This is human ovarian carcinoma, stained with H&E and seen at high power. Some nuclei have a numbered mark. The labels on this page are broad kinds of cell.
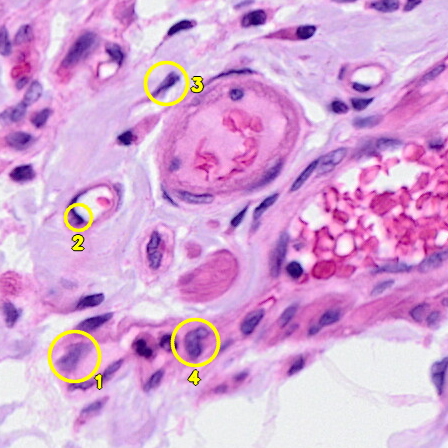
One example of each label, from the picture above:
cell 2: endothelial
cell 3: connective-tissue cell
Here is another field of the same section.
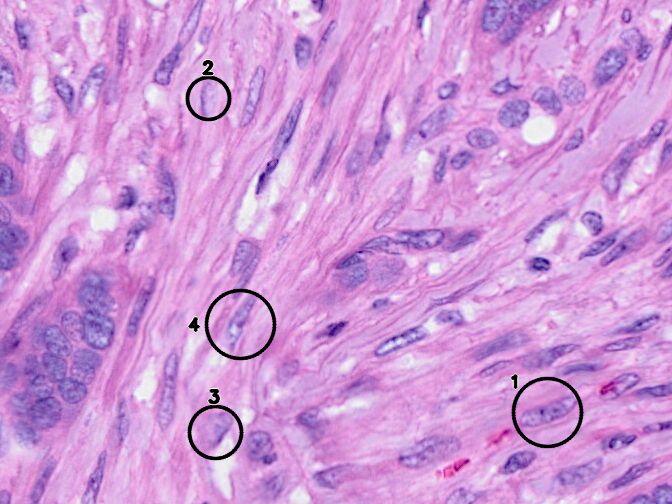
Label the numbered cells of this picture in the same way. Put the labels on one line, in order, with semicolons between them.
endothelial; connective-tissue cell; connective-tissue cell; connective-tissue cell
